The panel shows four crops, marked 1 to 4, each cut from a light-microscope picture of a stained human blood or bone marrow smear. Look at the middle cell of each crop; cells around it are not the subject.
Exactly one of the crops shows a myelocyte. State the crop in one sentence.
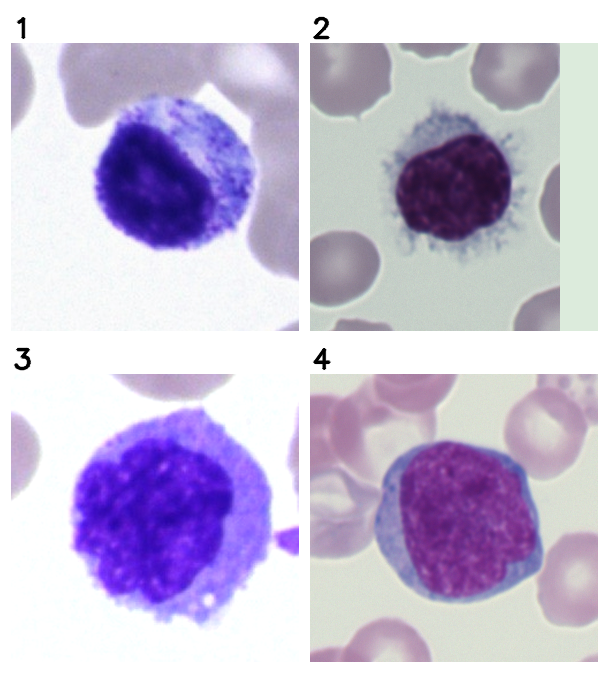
Crop 1, of the crops presented, is the one showing a myelocyte.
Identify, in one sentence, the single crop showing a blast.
Among the crops given, only crop 4 shows a blast.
